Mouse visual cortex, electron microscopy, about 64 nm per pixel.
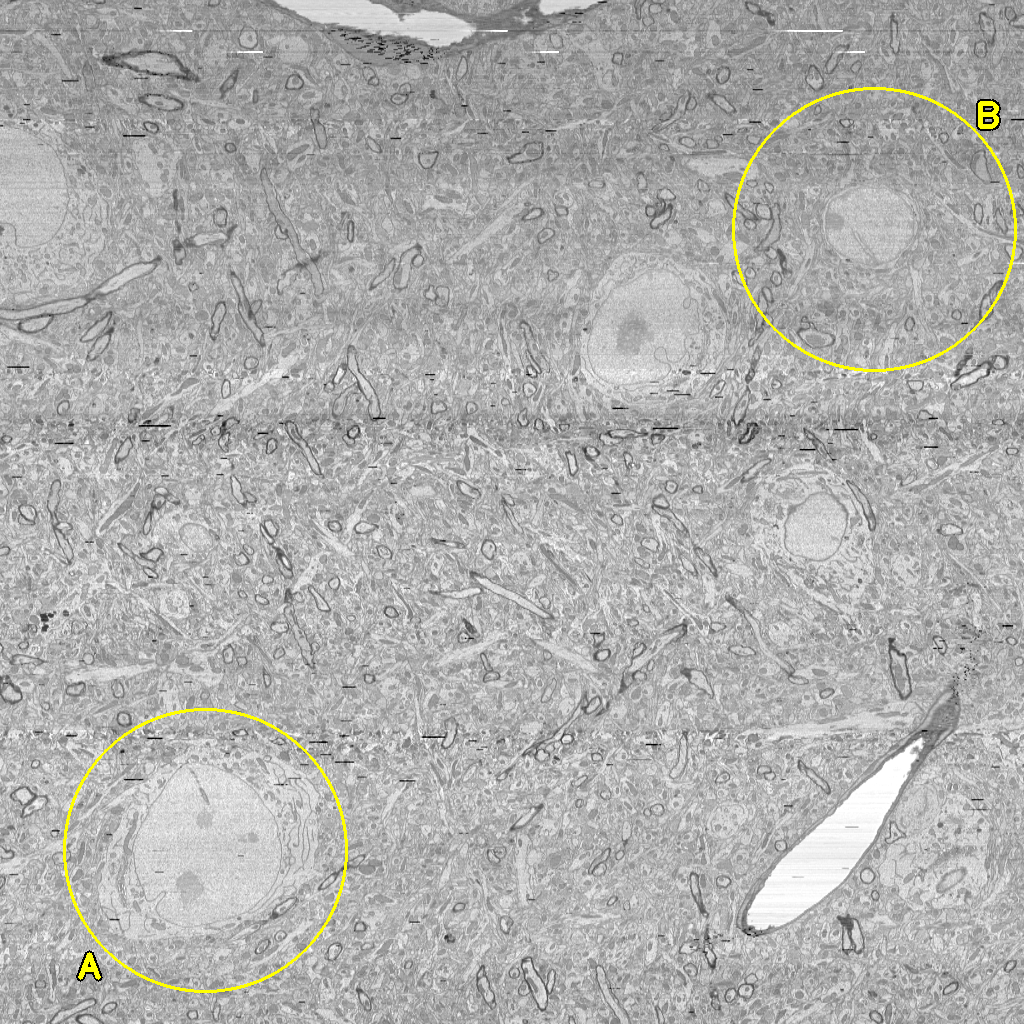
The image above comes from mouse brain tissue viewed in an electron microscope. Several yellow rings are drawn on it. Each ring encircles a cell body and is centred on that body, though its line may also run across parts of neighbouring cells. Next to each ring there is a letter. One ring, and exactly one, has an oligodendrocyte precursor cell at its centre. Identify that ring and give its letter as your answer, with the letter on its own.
B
